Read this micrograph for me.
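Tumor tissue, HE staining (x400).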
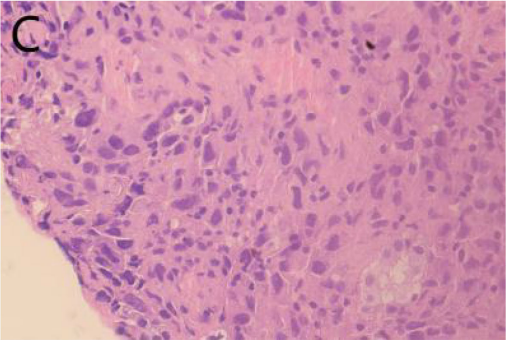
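The nuclei are dark purple, strongly enlarged and irregular, varying widely in size and shape, some angular, others elongated. The cells have ample pink cytoplasm and lie loosely in a pink background without orderly arrangement. A few cells are drawn out into spindle shapes among the larger rounded ones.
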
